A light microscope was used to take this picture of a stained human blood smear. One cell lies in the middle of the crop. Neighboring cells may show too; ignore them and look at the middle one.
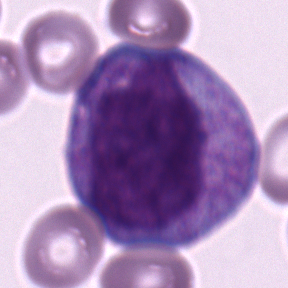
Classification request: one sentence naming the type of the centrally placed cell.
Here the centrally located cell is an atypical promyelocyte.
